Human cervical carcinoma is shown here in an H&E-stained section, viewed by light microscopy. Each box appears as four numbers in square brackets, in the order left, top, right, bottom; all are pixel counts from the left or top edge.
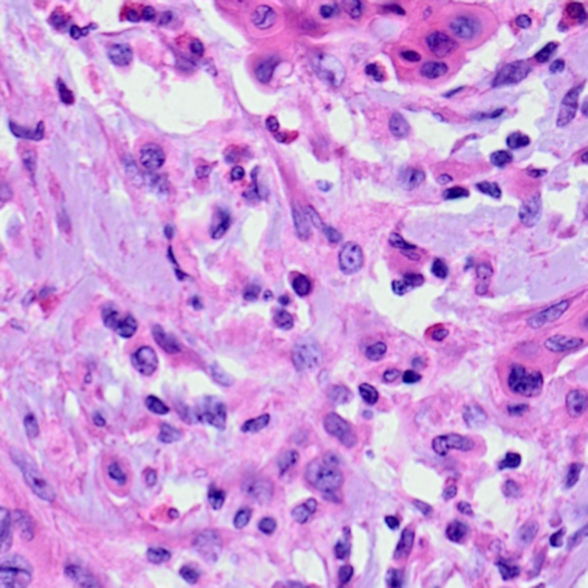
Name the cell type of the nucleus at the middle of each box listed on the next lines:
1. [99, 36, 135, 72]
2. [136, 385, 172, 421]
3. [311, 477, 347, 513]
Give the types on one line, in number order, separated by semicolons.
macrophage or monocyte; lymphocyte; endothelial cell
